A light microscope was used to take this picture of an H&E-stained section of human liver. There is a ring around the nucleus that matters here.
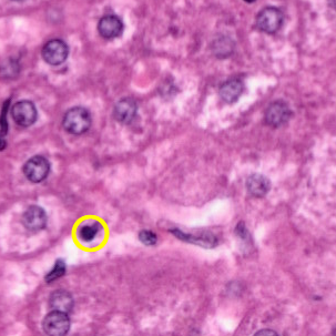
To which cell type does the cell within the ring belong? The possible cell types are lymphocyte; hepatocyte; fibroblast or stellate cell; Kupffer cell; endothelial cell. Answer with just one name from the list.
lymphocyte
